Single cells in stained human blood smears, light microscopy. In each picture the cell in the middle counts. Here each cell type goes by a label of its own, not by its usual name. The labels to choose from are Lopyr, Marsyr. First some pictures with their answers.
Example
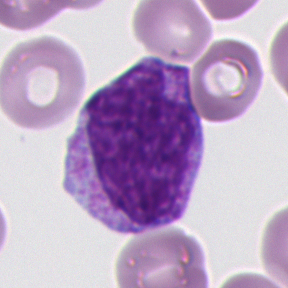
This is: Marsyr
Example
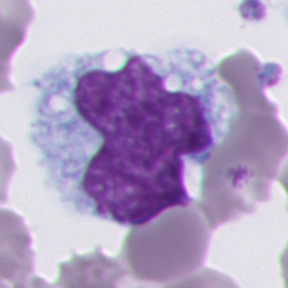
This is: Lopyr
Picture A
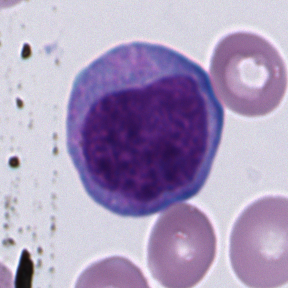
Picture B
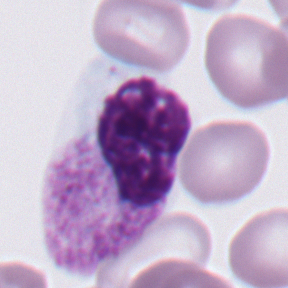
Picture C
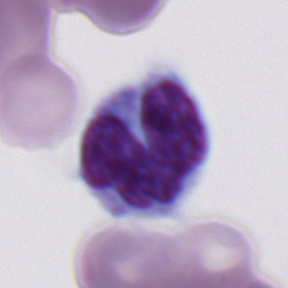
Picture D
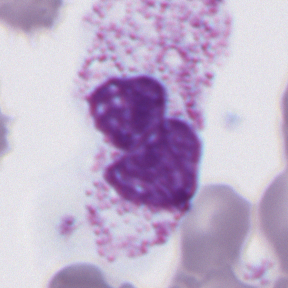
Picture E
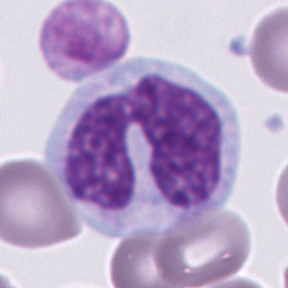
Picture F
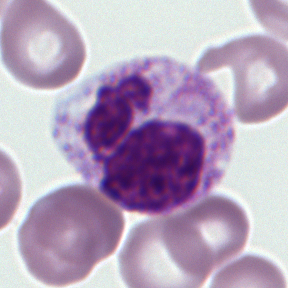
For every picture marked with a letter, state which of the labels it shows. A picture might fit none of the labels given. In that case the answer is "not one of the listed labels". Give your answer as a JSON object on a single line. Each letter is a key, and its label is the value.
{"A": "Marsyr", "B": "not one of the listed labels", "C": "Lopyr", "D": "not one of the listed labels", "E": "Lopyr", "F": "not one of the listed labels"}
